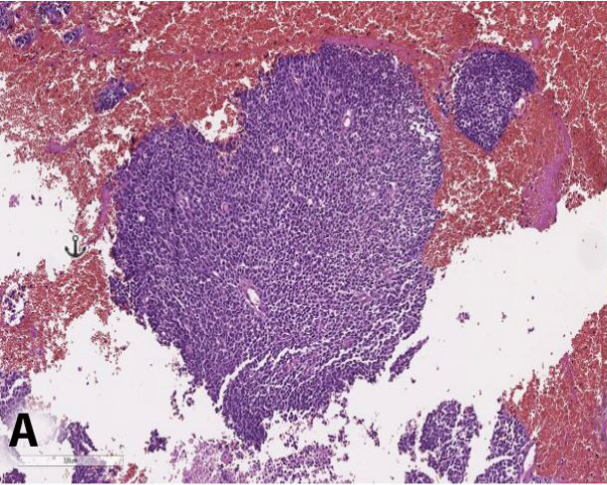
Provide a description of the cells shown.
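At low power this tumor forms large solid sheets of small, round, dark blue cells. Nothing else is seen within the mass: no other tissue components break up the sheet, only a few small vessels. Around the fragments lies abundant blood, pink-red here, with a smaller separate nodule of the same cells nearby.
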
